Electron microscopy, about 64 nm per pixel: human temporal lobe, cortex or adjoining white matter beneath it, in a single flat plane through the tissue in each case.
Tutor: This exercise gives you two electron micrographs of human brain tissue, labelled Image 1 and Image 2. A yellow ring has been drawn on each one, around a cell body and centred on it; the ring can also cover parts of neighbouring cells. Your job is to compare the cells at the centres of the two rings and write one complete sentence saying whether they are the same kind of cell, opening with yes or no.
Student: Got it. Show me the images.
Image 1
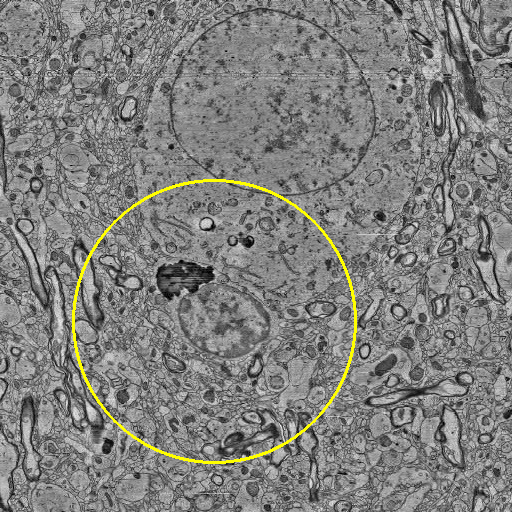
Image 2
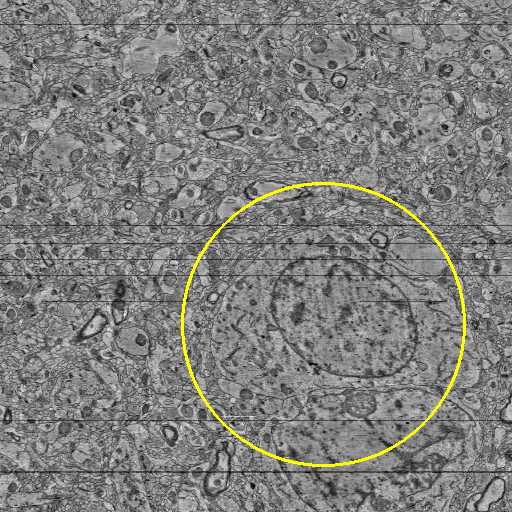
No, the two cells belong to two kinds.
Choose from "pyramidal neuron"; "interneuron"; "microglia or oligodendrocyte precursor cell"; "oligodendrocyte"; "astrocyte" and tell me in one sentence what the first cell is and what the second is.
What the first ring is centred on is an oligodendrocyte; what the second ring is centred on is a pyramidal neuron.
